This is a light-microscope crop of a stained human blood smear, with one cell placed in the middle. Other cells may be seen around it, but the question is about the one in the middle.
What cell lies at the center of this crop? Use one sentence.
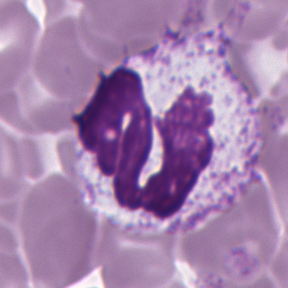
In the middle of this smear crop, the cell is a segmented neutrophil.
